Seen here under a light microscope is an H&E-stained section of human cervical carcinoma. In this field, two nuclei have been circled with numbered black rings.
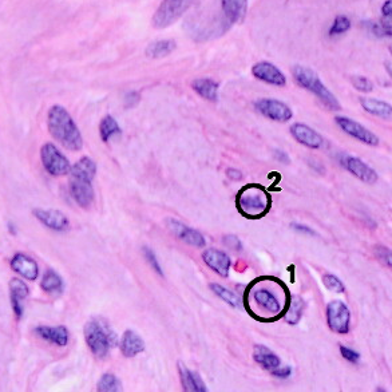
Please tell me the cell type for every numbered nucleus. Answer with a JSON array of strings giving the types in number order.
["endothelial cell", "smooth muscle cell"]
